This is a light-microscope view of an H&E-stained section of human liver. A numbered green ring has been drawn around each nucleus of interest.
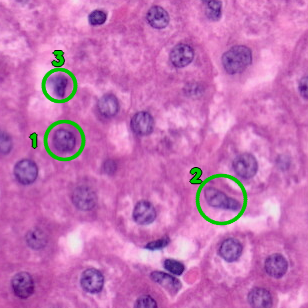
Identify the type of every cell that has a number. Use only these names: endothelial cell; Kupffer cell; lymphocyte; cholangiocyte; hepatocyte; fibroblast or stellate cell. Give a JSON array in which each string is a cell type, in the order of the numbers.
["hepatocyte", "Kupffer cell", "endothelial cell"]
